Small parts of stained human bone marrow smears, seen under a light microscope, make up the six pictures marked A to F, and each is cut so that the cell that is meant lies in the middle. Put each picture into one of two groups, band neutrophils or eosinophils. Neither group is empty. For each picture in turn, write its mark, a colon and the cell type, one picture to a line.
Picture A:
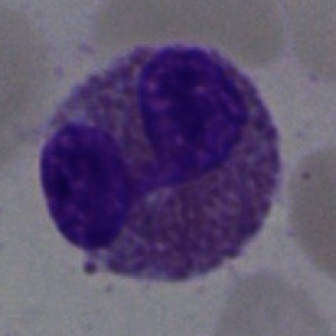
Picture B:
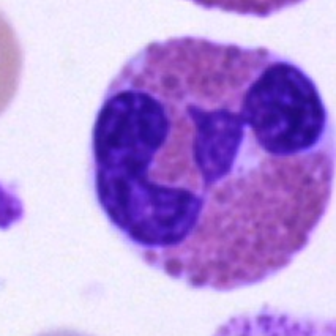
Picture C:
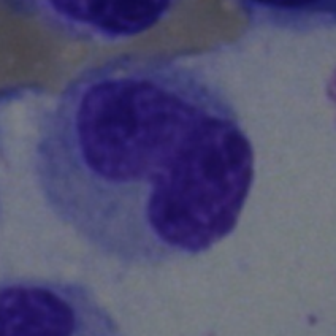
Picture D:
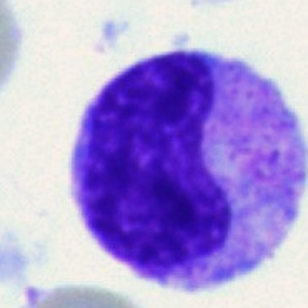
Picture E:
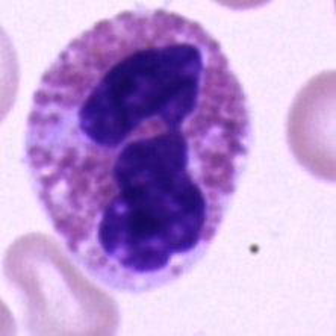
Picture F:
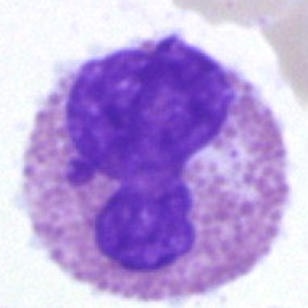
A: eosinophil
B: eosinophil
C: band neutrophil
D: band neutrophil
E: eosinophil
F: eosinophil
